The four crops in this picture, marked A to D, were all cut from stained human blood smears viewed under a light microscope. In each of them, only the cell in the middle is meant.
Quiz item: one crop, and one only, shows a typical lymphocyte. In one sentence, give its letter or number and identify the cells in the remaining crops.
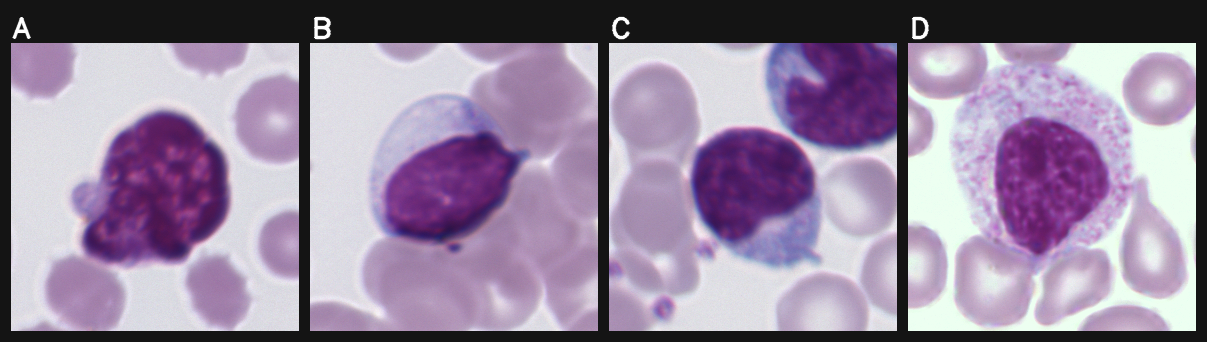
Crop C shows a typical lymphocyte, while crop A is a blast, crop B is a large granular lymphocyte and crop D is a myelocyte.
